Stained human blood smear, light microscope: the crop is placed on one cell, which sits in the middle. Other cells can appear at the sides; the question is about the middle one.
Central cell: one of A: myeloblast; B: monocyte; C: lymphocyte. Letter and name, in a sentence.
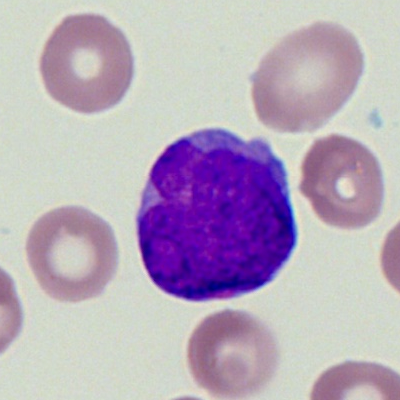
Of the options given, A is correct, the central cell being a myeloblast.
